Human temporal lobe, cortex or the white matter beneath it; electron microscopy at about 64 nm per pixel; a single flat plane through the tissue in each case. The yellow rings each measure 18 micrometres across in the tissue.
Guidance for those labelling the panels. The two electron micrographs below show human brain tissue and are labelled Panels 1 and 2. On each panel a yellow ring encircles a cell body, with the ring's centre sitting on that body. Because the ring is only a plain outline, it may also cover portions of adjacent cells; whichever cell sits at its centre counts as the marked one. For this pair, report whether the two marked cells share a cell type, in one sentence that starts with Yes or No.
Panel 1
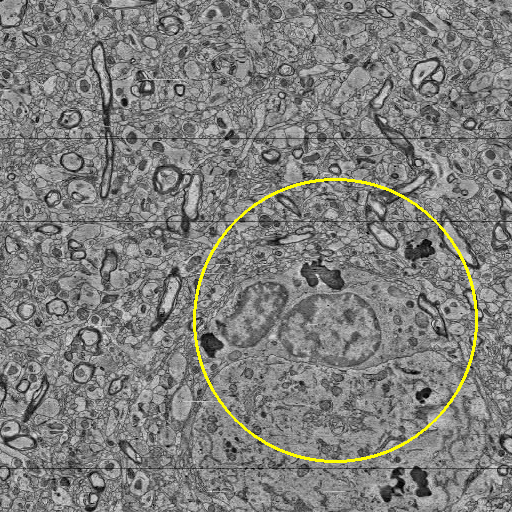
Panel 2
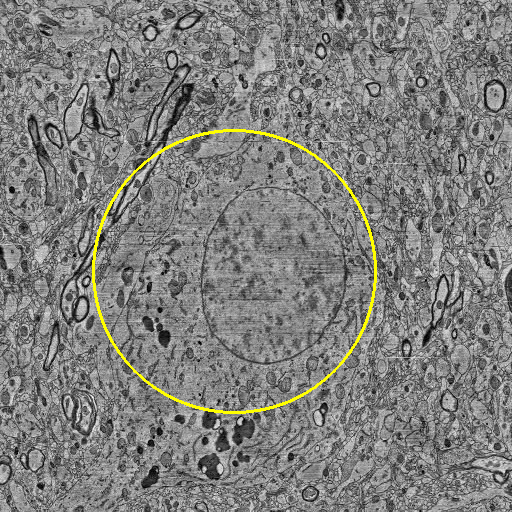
No, in Panel 1 and Panel 2 the marked cells at the ring centres are of two types.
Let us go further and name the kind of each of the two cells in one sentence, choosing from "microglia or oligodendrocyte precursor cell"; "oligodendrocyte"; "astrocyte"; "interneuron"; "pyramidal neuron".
The ring of the first picture is on an oligodendrocyte, the ring of the second on a pyramidal neuron.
